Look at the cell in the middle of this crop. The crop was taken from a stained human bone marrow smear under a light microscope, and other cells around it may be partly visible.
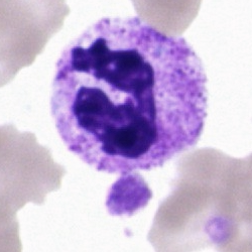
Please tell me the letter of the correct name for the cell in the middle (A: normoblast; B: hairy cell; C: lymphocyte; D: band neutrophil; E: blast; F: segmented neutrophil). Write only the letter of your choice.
F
